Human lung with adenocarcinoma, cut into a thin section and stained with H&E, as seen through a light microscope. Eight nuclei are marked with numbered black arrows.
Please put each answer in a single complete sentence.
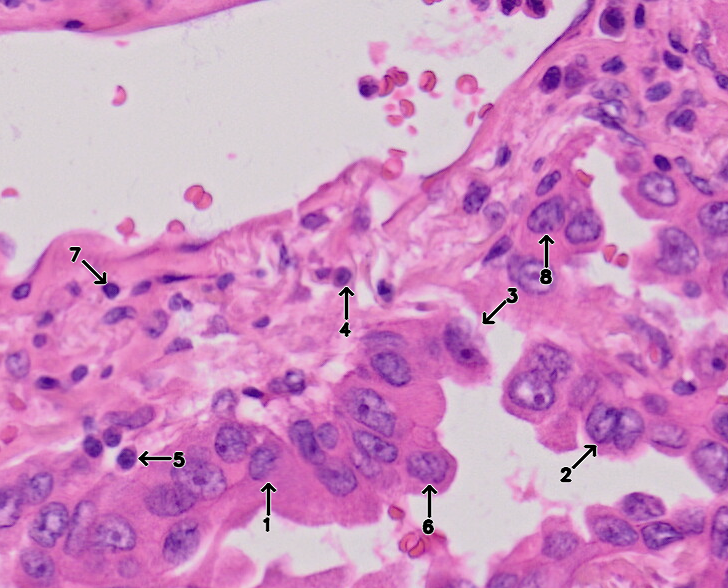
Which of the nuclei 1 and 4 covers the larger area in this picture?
Nucleus 1 is larger, with an area about 4 times that of nucleus 4.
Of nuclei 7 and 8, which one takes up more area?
Of the two, number 8 is bigger and takes up about 4 times the area of number 7.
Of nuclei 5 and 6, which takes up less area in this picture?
It is nucleus 5; nucleus 6 has about 4 times its area.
